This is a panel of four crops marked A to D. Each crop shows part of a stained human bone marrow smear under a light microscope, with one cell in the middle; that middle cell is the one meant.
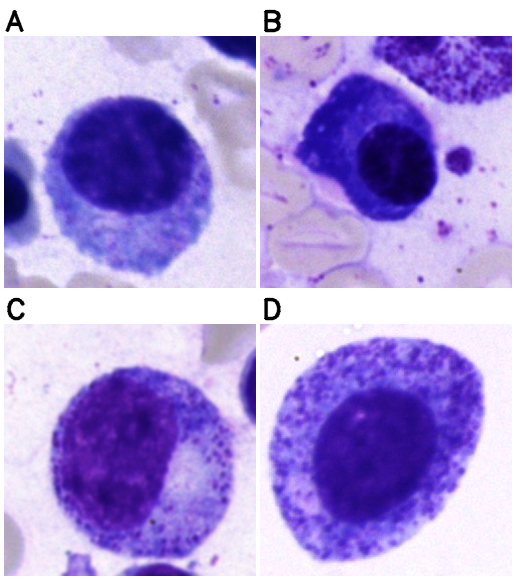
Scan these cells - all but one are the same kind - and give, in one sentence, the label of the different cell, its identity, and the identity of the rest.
Here the outlier is crop B, which is a plasma cell, and the rest are promyelocytes.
